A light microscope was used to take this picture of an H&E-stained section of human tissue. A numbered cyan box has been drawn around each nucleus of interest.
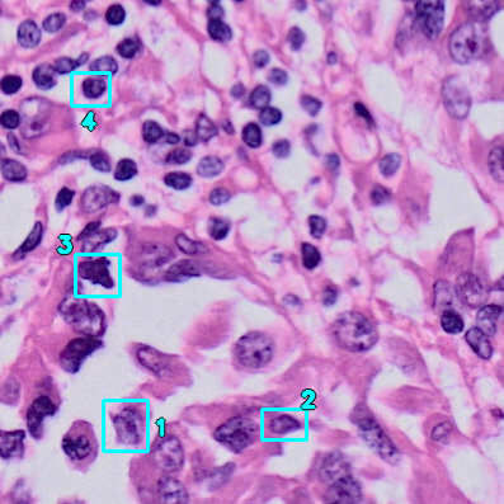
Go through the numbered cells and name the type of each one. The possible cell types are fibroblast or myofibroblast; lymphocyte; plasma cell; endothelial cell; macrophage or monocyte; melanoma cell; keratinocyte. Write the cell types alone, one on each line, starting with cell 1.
melanoma cell
melanoma cell
melanoma cell
lymphocyte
